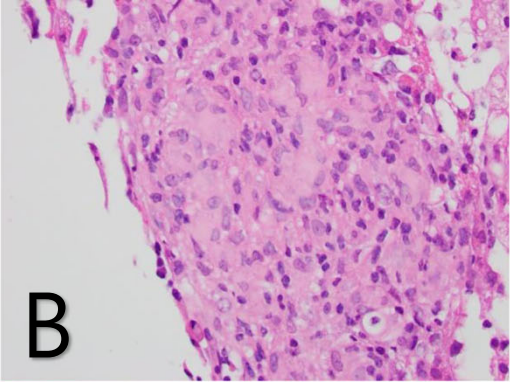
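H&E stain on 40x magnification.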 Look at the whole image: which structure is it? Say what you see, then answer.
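A cohesive cluster of epithelioid cells with abundant pale pink cytoplasm and oval pale nuclei. No necrosis in the centre of the cluster. Small dark round lymphocyte-like nuclei around the cluster. That points to this answer: non-necrotizing granuloma.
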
